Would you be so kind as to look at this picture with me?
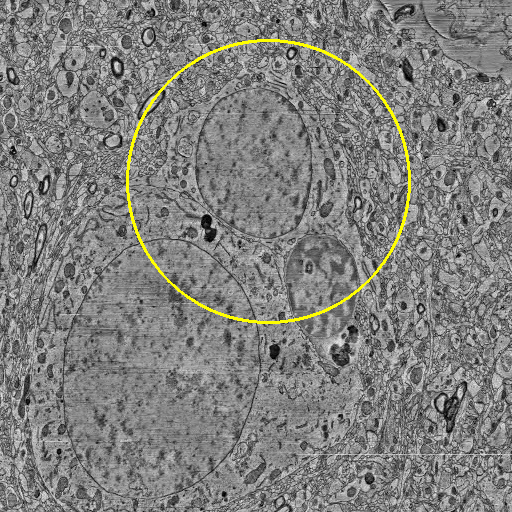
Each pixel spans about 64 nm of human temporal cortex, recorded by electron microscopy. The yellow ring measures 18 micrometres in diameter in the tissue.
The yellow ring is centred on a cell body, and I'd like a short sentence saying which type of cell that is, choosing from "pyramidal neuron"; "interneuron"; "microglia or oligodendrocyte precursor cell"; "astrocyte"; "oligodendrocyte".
The cell body in the ring belongs to an astrocyte.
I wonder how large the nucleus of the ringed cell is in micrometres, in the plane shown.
The nucleus comes to roughly 10 by 8 micrometres in this plane.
